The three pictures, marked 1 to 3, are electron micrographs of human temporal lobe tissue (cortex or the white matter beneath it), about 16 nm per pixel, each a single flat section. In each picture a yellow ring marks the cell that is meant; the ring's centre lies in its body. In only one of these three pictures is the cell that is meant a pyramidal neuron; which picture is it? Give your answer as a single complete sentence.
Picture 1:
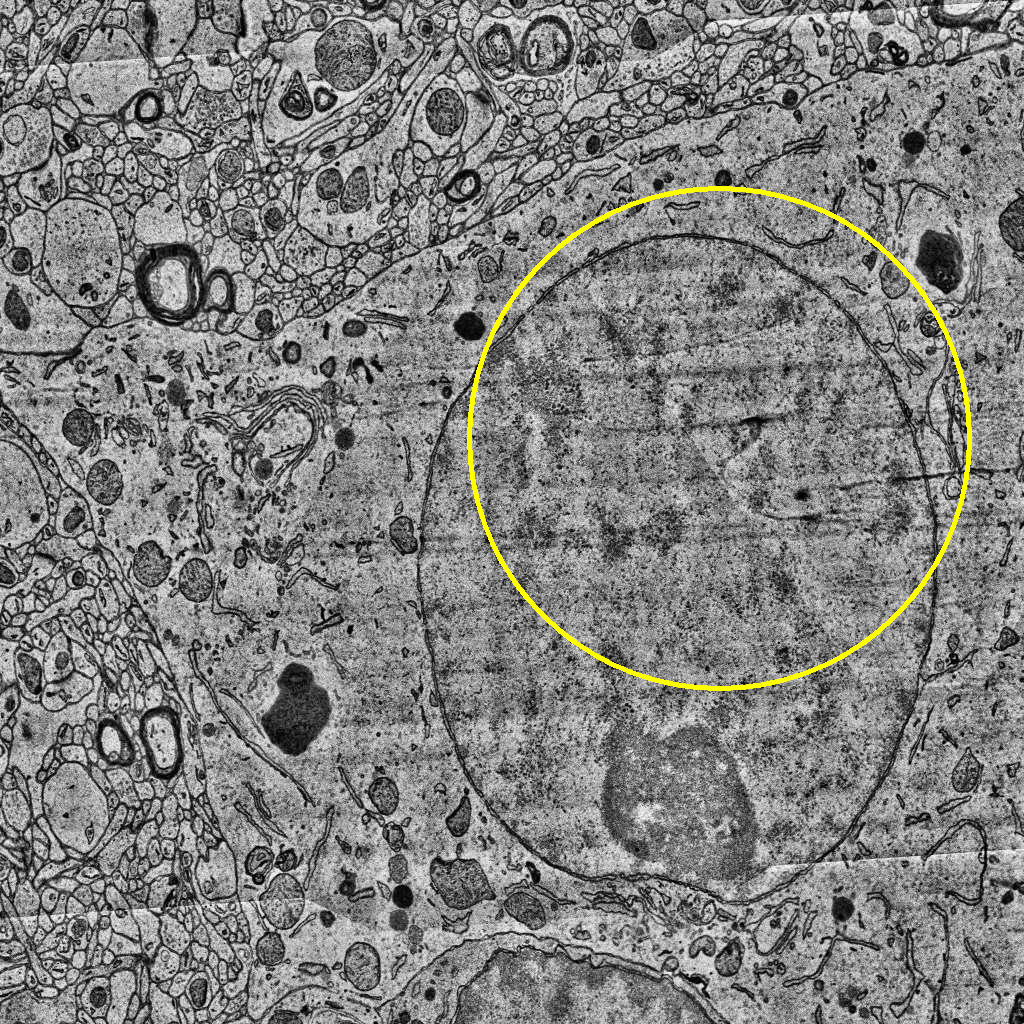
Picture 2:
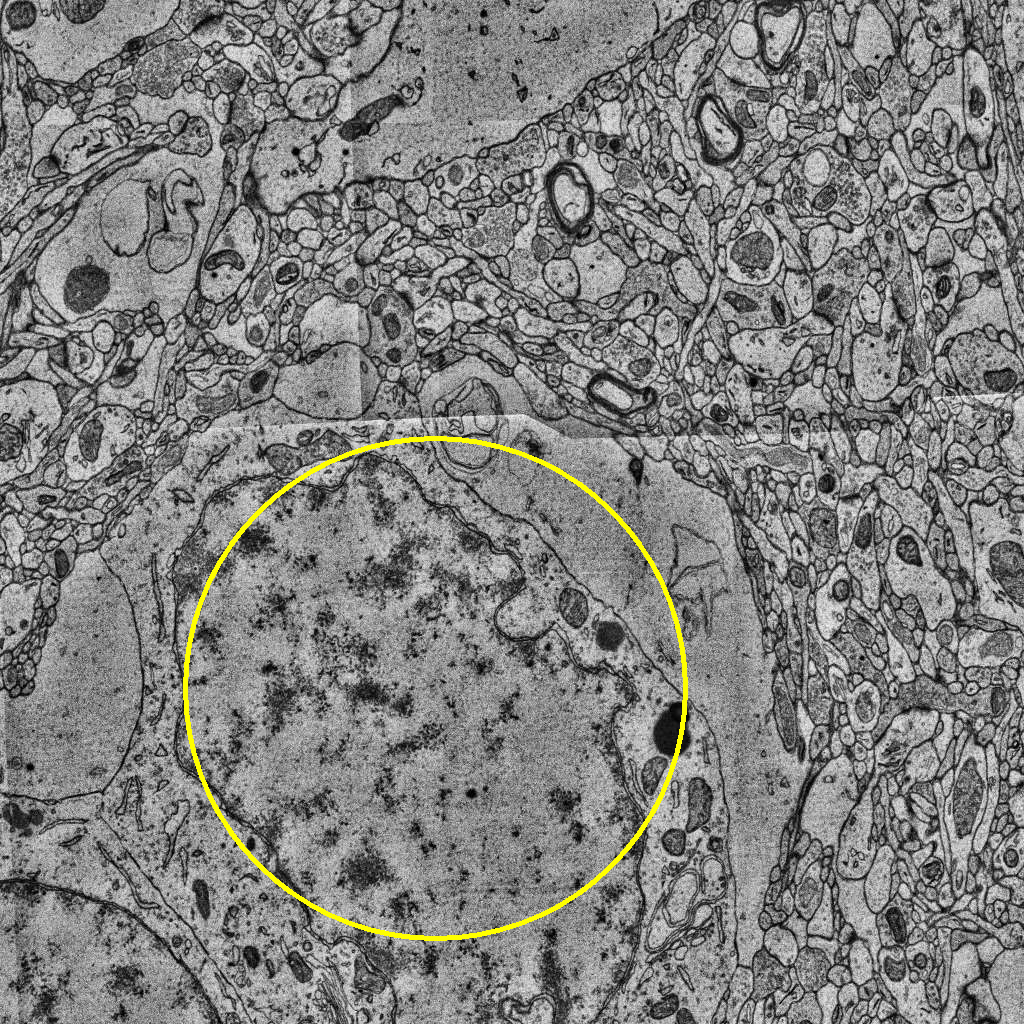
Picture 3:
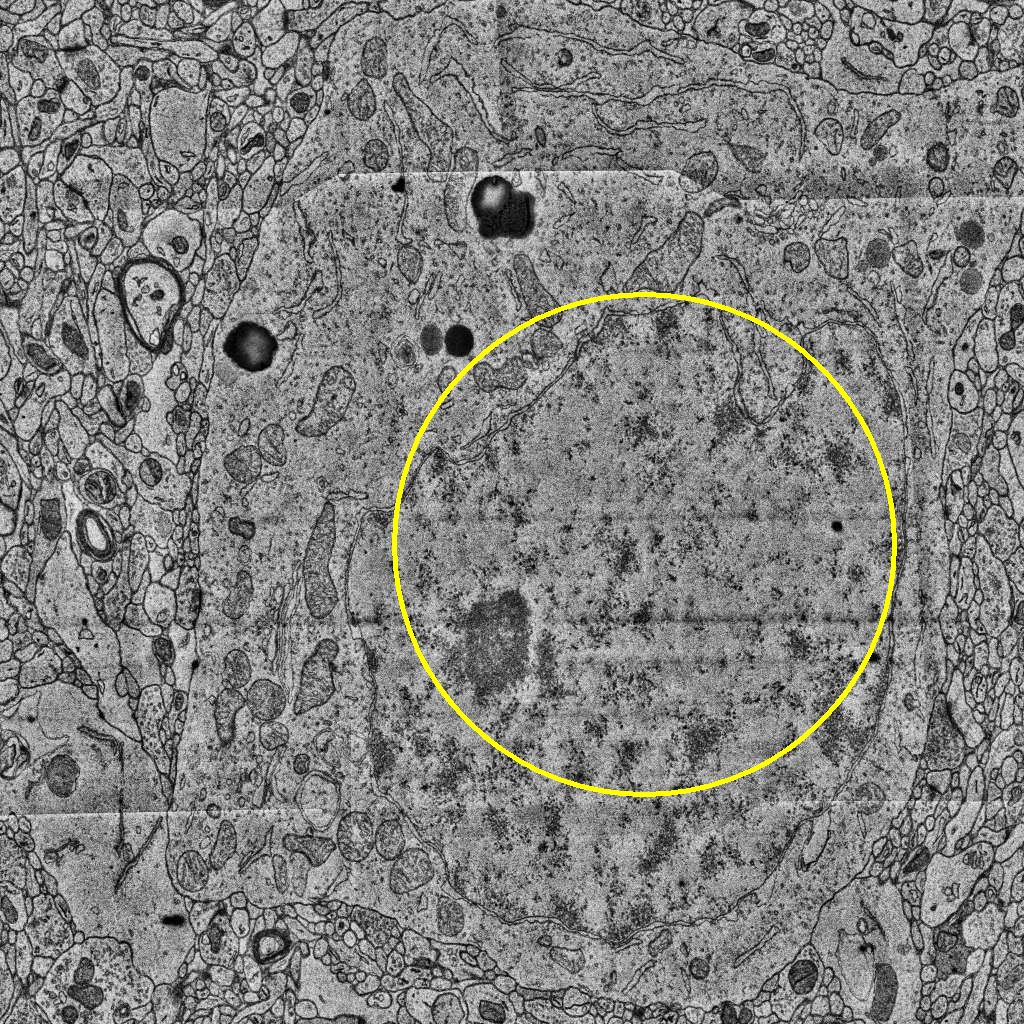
Picture 1 is the one that shows the pyramidal neuron.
